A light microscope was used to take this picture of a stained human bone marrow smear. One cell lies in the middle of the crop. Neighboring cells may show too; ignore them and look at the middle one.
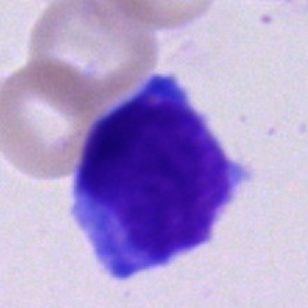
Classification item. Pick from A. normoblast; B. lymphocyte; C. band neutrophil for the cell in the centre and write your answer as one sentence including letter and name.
Option B is to be chosen, as the central cell is a lymphocyte.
